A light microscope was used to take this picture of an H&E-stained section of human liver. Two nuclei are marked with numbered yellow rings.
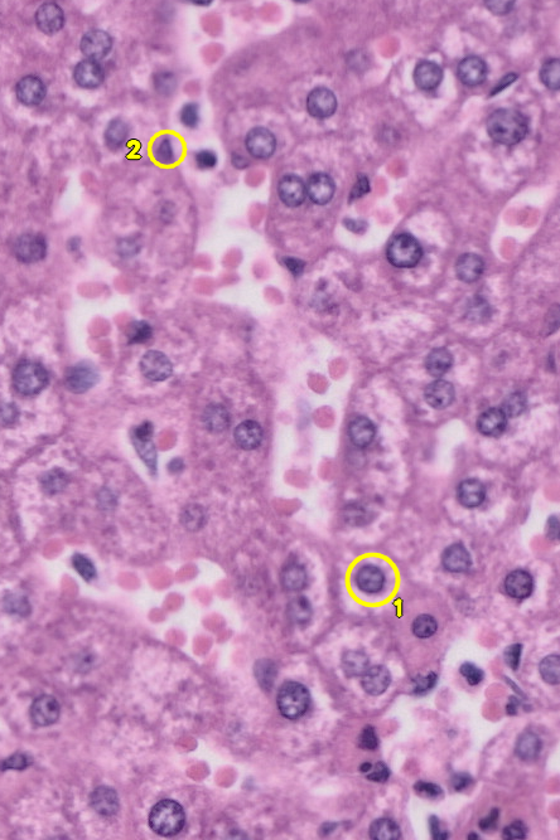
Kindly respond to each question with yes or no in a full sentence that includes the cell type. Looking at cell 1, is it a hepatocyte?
Yes, it is a hepatocyte that carries the number 1.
